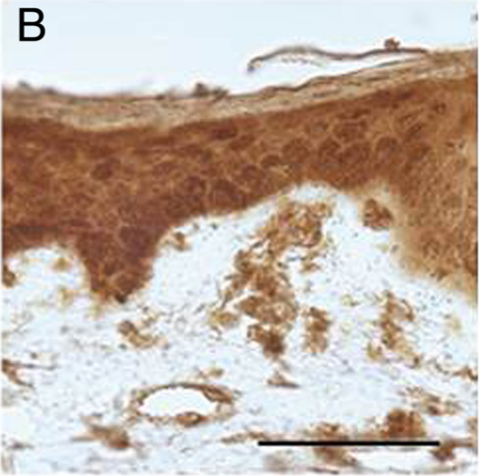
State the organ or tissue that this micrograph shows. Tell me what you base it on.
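A thick, densely stained stratified cell layer runs along the top surface. Thin flattened layers lie at the outermost surface. Below the cell layer lies loose, pale connective tissue with a small vessel. The lower border of the cell layer forms downward projections into the connective tissue.
Epidermal skin cells.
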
